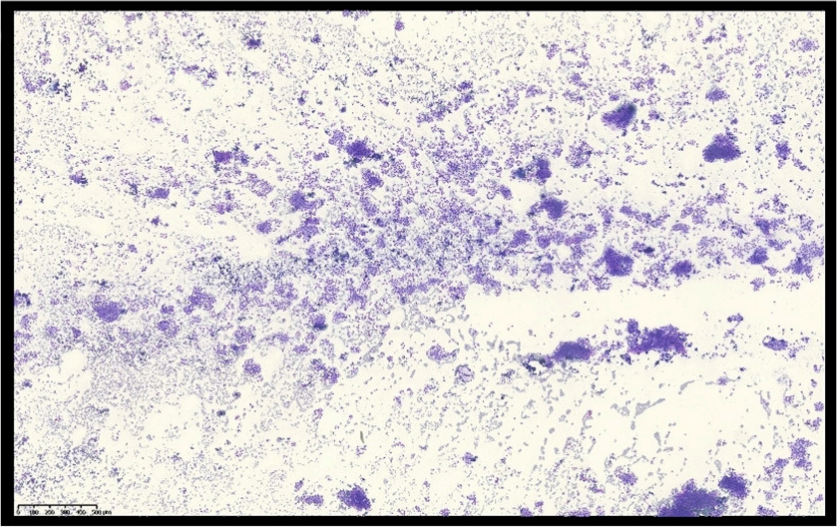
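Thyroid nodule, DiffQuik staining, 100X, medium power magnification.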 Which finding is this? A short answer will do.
Hypercellular smear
